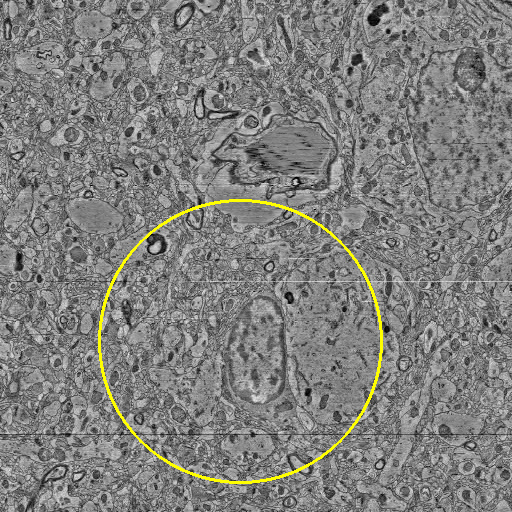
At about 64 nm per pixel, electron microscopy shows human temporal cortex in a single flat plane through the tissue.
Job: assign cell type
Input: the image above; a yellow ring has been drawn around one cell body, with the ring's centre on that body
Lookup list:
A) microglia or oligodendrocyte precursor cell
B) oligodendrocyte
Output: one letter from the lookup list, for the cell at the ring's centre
B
